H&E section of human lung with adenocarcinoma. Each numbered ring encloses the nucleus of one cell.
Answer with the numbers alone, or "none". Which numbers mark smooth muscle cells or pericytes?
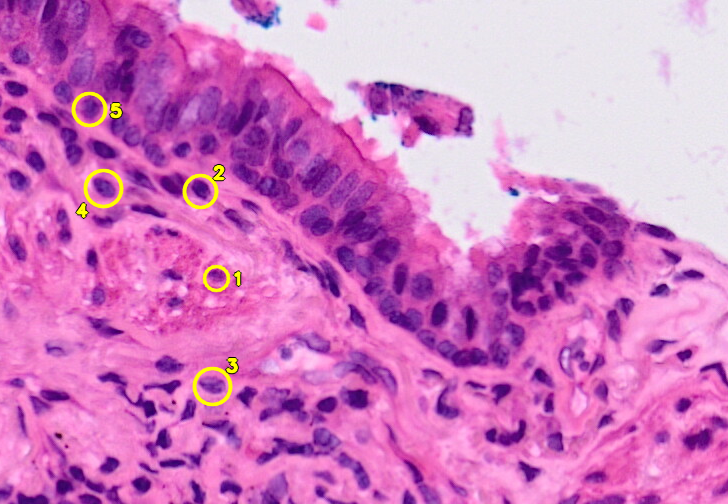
1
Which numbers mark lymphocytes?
2, 3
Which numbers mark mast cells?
4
